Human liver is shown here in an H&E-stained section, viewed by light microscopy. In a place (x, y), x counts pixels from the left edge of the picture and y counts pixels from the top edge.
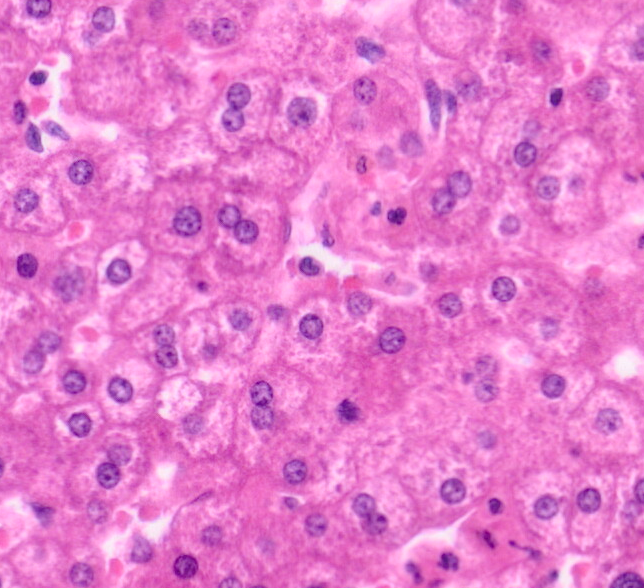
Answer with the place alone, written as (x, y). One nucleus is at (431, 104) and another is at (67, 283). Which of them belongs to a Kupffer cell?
(431, 104)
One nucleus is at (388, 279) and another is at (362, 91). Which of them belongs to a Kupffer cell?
(388, 279)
